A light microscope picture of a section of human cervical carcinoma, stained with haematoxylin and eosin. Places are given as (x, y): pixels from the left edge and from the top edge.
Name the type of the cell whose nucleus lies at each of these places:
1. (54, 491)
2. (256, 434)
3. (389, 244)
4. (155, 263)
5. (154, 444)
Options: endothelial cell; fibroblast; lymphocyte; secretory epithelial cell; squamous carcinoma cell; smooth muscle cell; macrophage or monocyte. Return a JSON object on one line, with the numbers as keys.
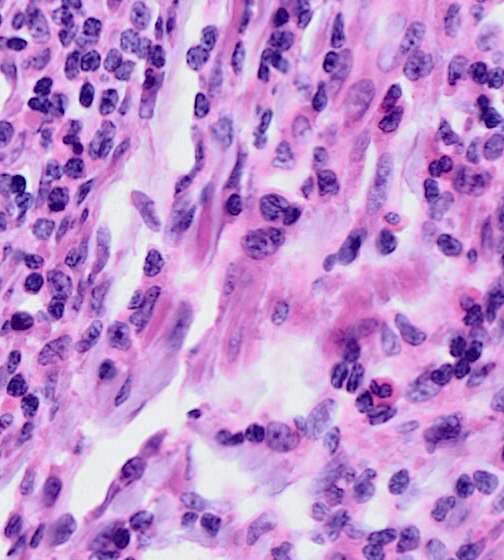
{"1": "macrophage or monocyte", "2": "lymphocyte", "3": "lymphocyte", "4": "lymphocyte", "5": "endothelial cell"}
